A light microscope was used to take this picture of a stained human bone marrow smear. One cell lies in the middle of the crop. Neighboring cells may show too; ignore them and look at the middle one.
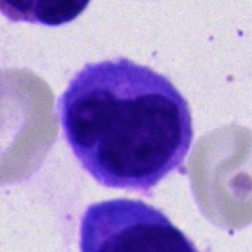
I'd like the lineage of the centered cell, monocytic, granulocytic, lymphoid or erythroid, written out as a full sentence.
The cell at the center is recorded as monocytic in lineage.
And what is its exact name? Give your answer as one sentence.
This crop has a monocyte at its centre.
